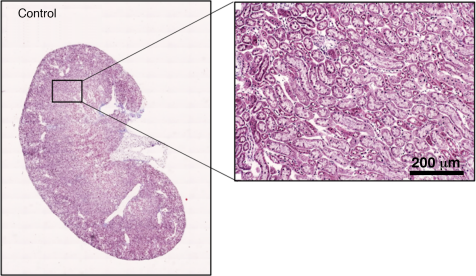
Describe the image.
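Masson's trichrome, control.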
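Kidney section with densely packed tubules, seen whole and enlarged. In the enlarged field, round and oval tubule profiles with red-purple epithelium lie closely side by side, separated by very little interstitium.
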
